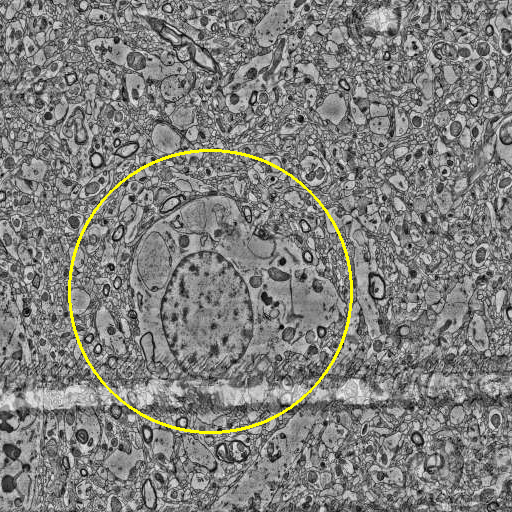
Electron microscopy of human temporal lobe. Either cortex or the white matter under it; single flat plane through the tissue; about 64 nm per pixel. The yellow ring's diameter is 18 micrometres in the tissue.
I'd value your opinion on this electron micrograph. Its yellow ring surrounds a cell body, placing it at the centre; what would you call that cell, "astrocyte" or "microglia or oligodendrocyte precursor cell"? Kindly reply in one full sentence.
It is an astrocyte that sits centred within the yellow ring in this micrograph.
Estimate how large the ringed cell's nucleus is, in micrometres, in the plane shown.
Approximately 8 micrometres long and 6 micrometres wide, in this plane.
